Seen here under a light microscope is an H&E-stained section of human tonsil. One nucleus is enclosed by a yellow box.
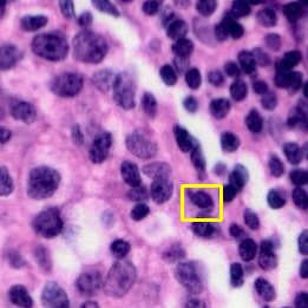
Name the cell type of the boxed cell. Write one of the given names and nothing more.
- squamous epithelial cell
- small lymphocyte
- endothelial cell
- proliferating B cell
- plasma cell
proliferating B cell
